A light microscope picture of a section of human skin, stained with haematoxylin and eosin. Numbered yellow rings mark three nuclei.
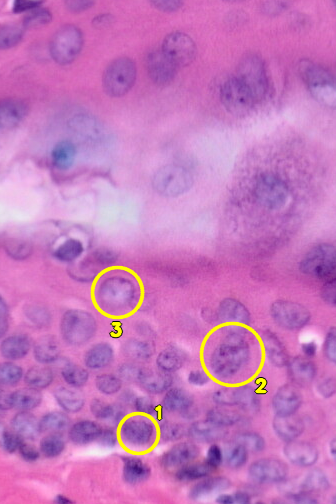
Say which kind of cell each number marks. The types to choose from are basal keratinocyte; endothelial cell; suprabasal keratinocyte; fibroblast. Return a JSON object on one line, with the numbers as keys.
{"1": "basal keratinocyte", "2": "suprabasal keratinocyte", "3": "suprabasal keratinocyte"}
